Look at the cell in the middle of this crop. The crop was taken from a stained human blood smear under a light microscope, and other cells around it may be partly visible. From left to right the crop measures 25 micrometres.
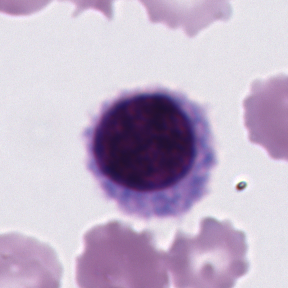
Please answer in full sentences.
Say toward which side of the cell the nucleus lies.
It is shifted toward the upper left of the cell.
